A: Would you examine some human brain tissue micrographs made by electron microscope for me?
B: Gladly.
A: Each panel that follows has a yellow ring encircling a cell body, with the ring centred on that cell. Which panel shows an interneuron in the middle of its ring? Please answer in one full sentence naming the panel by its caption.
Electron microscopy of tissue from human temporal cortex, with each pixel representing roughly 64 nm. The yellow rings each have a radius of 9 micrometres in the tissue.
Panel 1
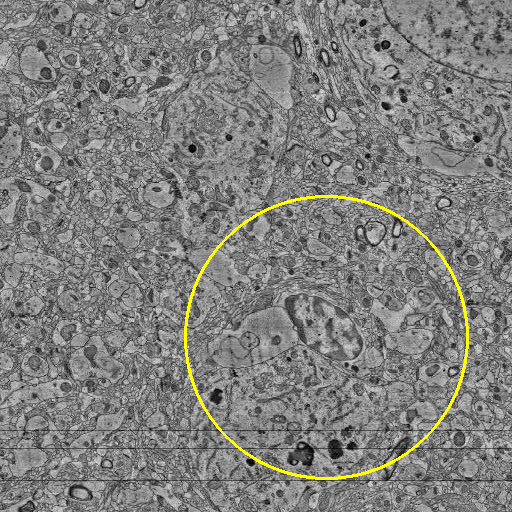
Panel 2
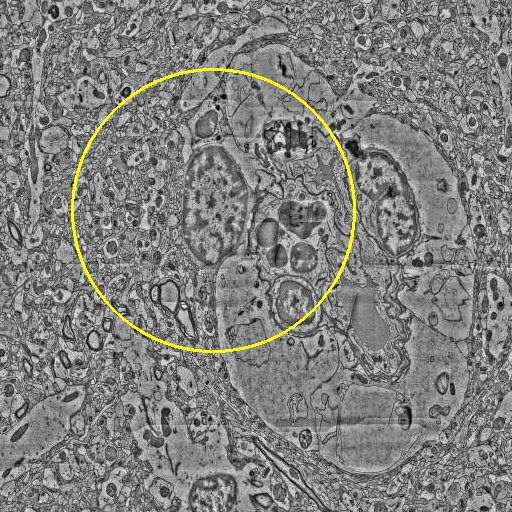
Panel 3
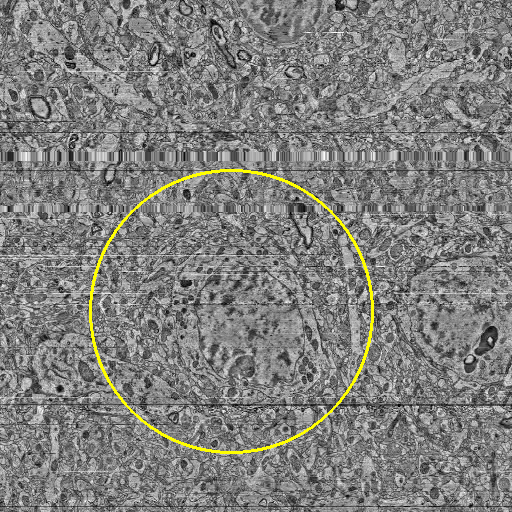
Panel 3 is where the ring sits centred on the requested cell.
